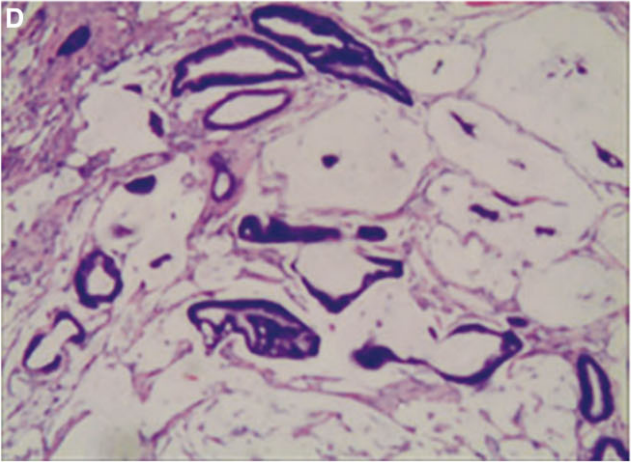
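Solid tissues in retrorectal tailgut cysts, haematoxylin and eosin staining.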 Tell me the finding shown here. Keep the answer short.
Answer: mucinous adenocarcinoma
